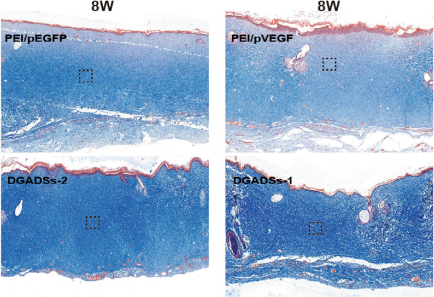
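These are four low-power sections through healed skin wound tissue, each with a thin red-stained epidermis running along the upper surface. Beneath it the dermis is filled almost entirely by dense blue-stained collagen, with only scattered red-purple cellular areas and small rounded spaces that look like vessels. In places the blue fibrous tissue appears denser and darker, and occasional appendage-like or vascular structures lie within it.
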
